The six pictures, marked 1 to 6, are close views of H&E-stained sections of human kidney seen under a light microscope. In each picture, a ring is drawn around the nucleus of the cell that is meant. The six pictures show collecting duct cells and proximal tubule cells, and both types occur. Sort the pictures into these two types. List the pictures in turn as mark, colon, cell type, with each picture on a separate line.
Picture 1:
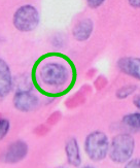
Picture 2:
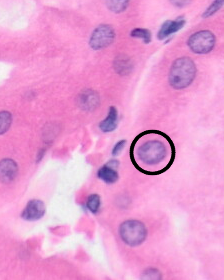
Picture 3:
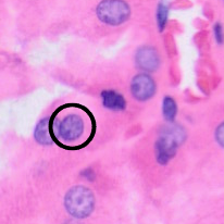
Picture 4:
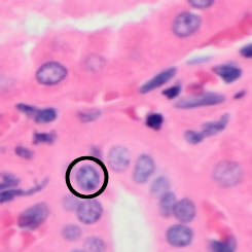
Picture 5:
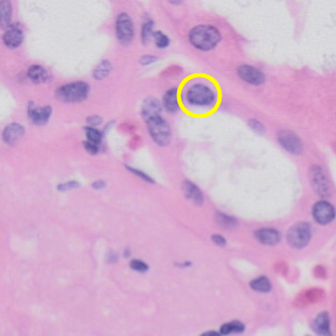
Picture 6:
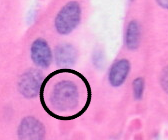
1: collecting duct cell
2: proximal tubule cell
3: proximal tubule cell
4: collecting duct cell
5: collecting duct cell
6: collecting duct cell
